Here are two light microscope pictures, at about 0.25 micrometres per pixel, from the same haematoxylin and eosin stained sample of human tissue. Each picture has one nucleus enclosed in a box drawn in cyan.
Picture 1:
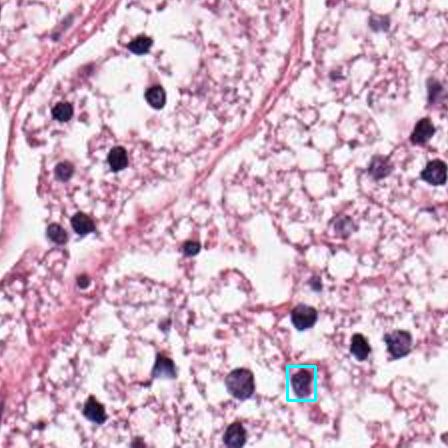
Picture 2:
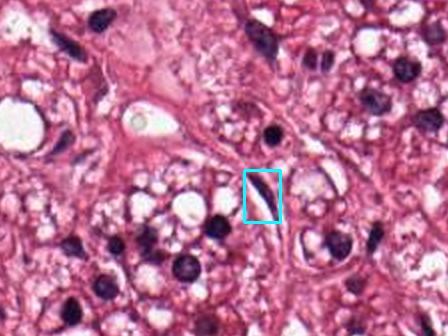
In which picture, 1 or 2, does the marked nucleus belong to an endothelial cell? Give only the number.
2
